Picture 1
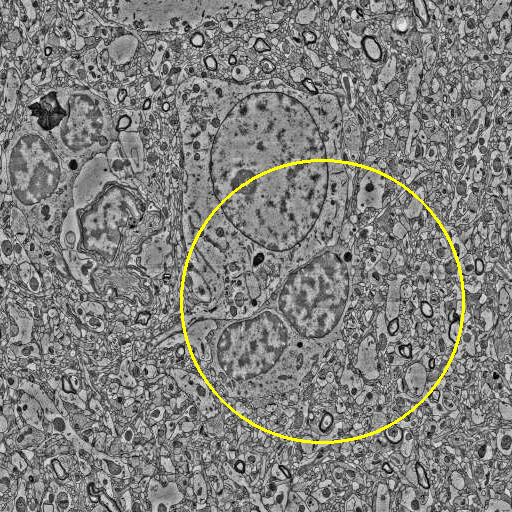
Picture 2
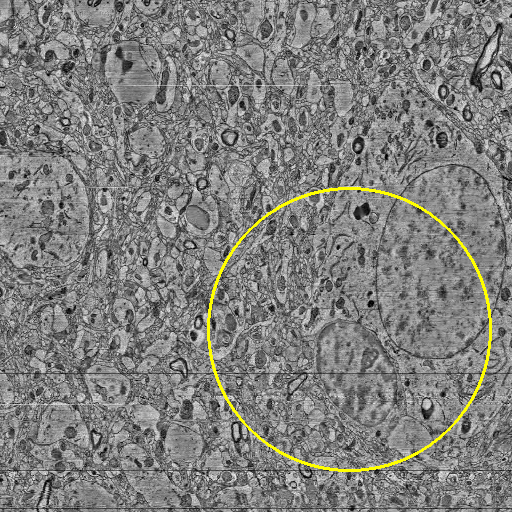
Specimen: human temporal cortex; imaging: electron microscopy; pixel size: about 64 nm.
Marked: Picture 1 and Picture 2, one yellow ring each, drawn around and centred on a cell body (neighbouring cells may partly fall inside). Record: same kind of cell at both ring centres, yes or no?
yes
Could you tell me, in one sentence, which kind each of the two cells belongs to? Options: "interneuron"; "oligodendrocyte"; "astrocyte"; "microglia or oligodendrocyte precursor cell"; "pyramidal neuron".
Each one of the two ringed cells is an oligodendrocyte.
